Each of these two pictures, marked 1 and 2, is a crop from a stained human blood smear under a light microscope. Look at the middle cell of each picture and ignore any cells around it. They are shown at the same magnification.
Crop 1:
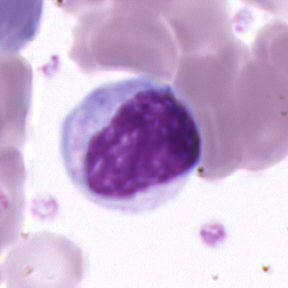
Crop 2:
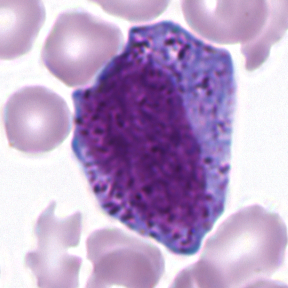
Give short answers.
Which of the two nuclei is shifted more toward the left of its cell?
2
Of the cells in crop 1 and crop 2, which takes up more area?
2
